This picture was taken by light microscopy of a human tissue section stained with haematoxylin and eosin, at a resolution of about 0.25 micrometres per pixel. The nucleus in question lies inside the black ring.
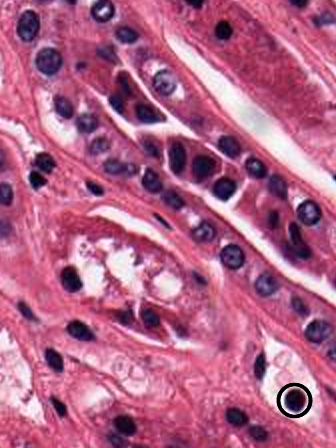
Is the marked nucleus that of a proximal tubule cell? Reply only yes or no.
no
